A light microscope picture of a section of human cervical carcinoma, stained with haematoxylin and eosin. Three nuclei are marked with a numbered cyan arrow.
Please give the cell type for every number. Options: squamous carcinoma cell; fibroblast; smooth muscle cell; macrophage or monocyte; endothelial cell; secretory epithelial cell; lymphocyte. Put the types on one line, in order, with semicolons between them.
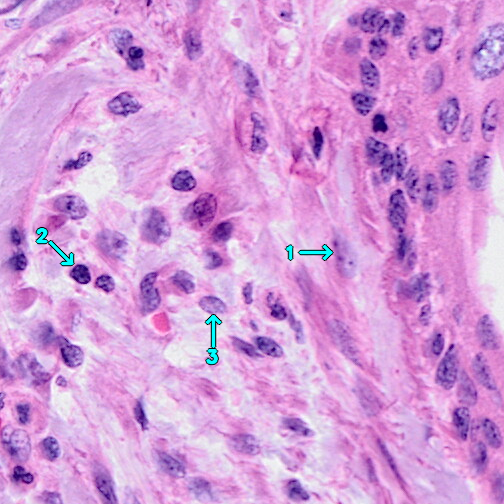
fibroblast; lymphocyte; macrophage or monocyte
